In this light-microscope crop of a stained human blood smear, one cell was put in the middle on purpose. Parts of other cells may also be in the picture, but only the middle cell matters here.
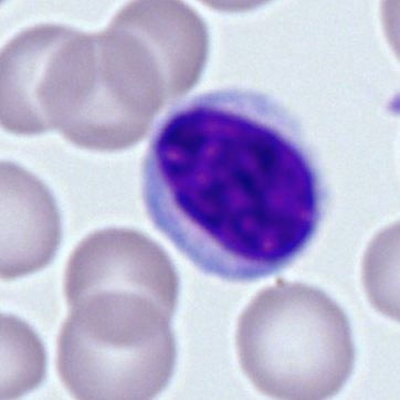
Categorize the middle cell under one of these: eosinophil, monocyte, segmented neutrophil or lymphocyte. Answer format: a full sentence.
The cell sitting right in the middle is a lymphocyte.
